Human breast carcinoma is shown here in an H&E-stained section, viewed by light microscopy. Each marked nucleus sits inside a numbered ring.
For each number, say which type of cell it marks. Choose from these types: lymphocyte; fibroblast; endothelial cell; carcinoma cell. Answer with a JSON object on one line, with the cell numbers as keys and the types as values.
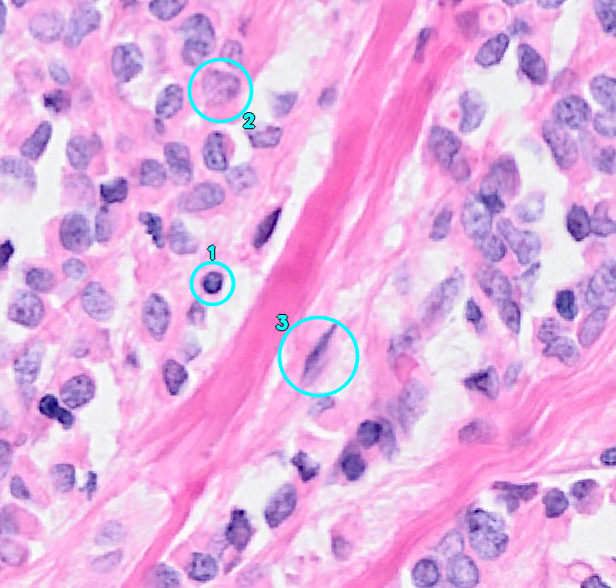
{"1": "lymphocyte", "2": "carcinoma cell", "3": "fibroblast"}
